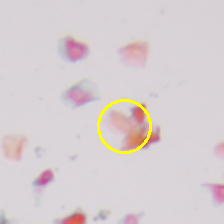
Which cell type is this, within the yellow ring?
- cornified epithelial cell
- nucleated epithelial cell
Within the ring is a cornified epithelial cell.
